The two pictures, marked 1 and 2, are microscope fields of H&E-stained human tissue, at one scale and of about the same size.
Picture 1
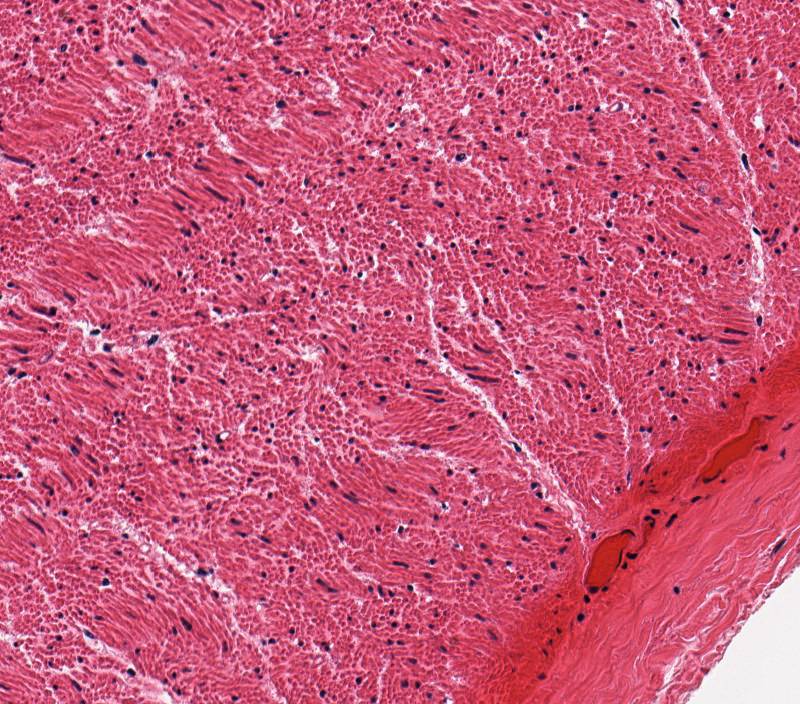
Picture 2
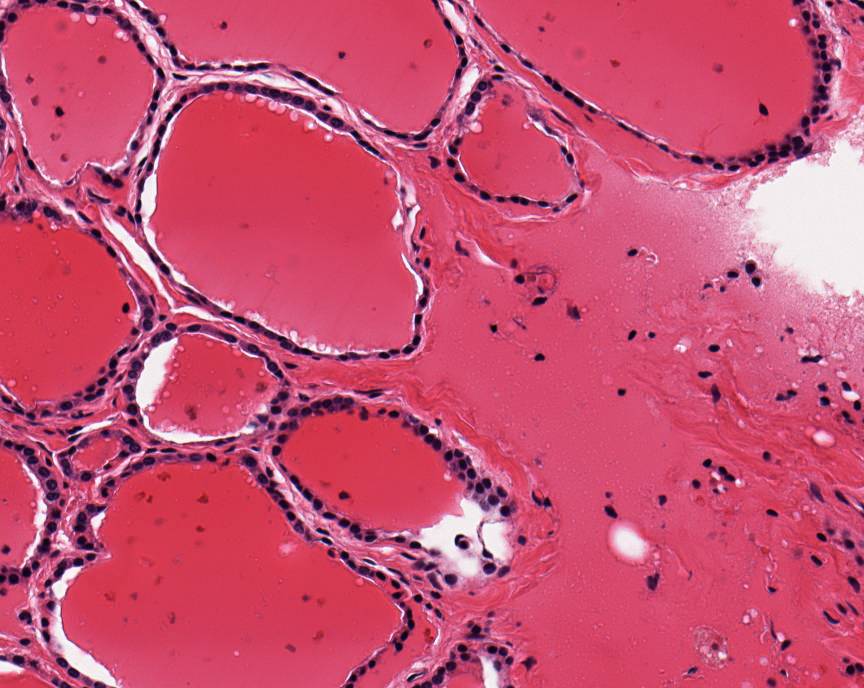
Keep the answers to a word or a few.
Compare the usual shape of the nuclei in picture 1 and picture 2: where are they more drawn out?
2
